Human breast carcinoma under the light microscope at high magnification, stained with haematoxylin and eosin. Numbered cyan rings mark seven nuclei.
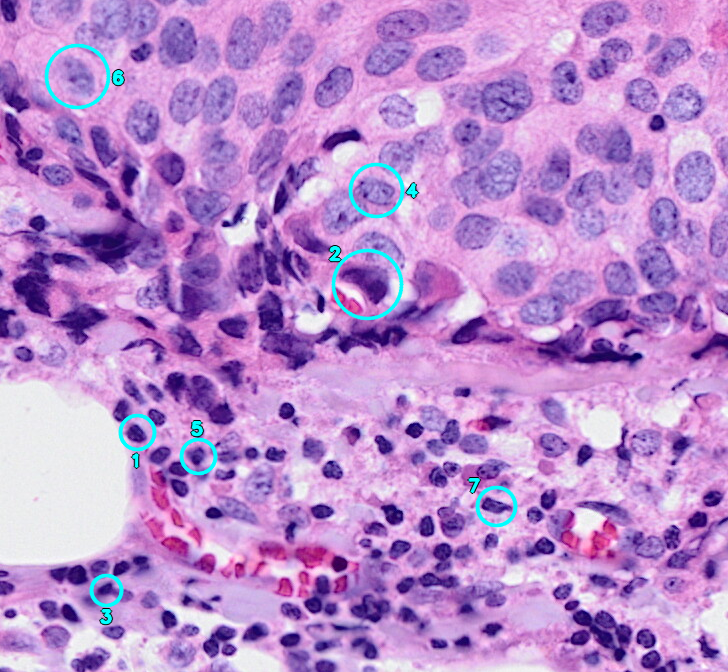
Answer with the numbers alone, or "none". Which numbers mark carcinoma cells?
2, 4, 6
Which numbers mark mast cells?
none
